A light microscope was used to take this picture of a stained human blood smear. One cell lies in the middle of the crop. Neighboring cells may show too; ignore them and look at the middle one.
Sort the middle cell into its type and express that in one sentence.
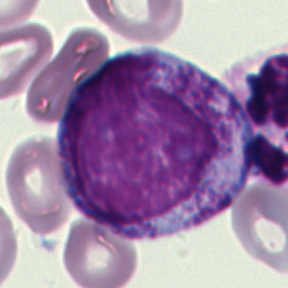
The centrally located cell in the crop is a promyelocyte.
